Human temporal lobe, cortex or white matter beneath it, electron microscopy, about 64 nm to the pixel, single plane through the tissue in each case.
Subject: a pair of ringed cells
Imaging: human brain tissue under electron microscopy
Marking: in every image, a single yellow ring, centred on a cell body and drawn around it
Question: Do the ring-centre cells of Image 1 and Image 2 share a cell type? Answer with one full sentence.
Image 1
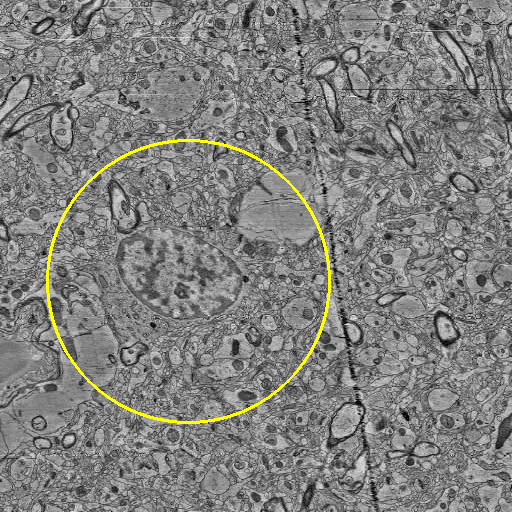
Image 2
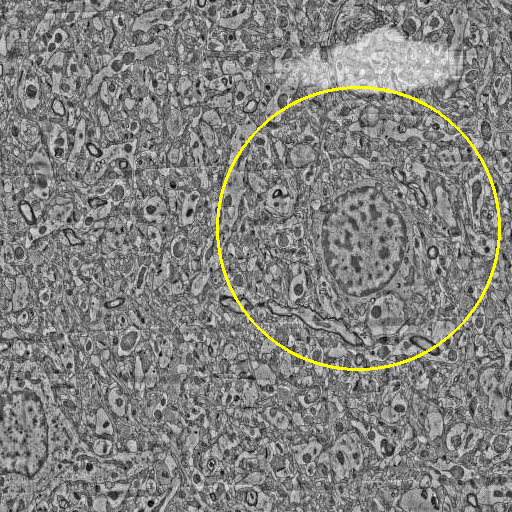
Yes, at each ring's centre in the images sits a cell of one common type.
